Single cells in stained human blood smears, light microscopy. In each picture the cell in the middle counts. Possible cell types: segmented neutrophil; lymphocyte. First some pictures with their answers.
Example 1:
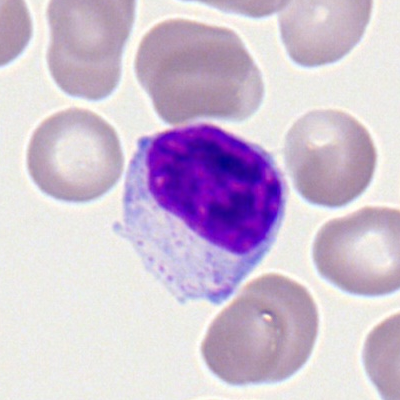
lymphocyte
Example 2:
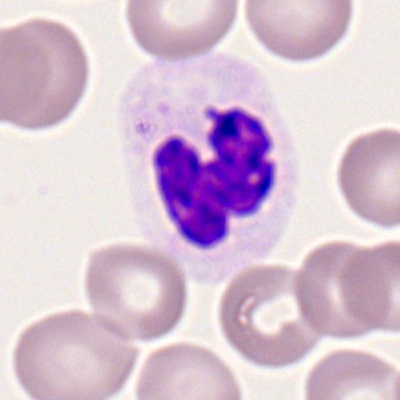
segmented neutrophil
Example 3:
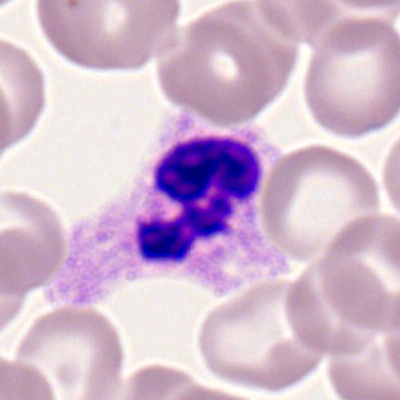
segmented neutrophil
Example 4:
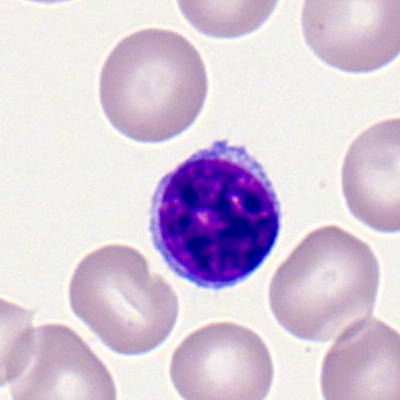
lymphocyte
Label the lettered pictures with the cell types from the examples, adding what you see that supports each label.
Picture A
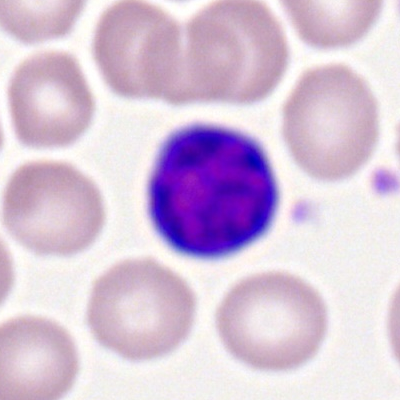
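lymphocyte: Cytoplasm is scant, showing at most as a thin blue rim at the edge.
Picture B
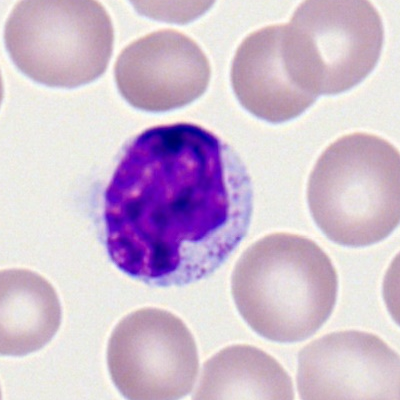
lymphocyte: The nucleus fills most of the cell.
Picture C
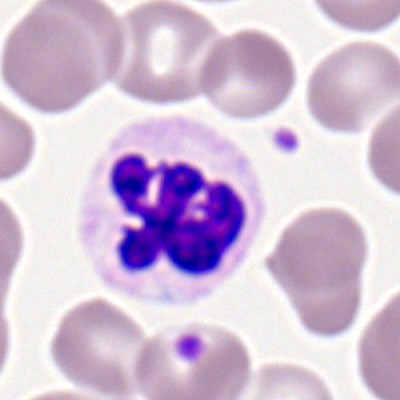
segmented neutrophil: A wide rim of pale pinkish-lilac cytoplasm surrounds the nucleus.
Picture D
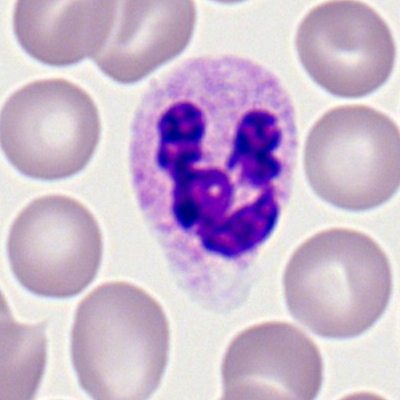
segmented neutrophil: The nuclear lobes are arranged in a U shape that opens toward the top of the cell.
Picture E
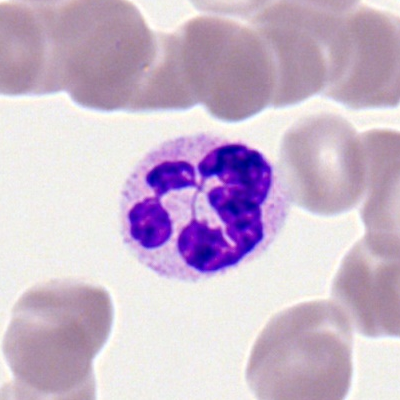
segmented neutrophil: The cytoplasm is pale pink-lilac and fills much of the cell around the lobes.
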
